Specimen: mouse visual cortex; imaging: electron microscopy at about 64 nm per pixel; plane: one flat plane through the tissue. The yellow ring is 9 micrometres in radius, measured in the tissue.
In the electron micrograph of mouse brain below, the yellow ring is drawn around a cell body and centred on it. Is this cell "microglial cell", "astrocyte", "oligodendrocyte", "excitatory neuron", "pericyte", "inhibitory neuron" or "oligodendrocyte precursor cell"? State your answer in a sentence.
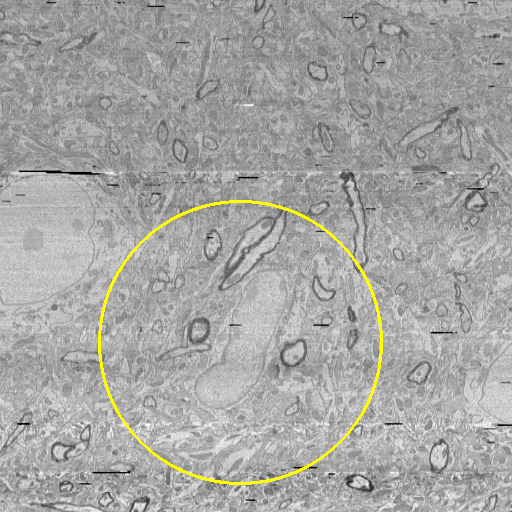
The cell in the middle of the ring is an astrocyte.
